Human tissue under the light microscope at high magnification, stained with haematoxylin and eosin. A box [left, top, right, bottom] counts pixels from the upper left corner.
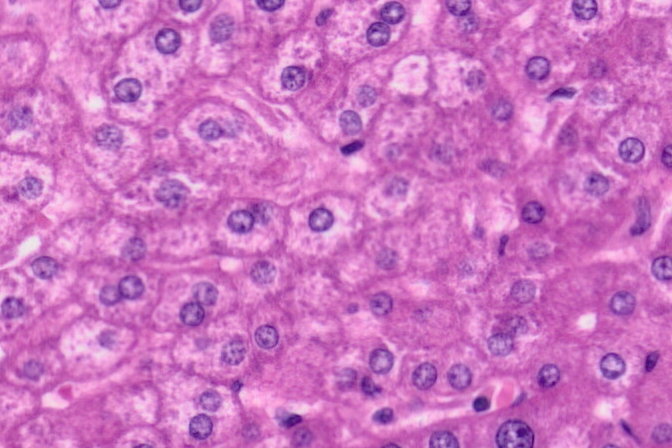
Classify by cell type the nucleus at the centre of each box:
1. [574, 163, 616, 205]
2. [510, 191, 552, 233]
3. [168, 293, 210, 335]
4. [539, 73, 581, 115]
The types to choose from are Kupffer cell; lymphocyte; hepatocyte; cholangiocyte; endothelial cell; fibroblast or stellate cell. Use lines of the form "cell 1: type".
cell 1: hepatocyte
cell 2: hepatocyte
cell 3: hepatocyte
cell 4: endothelial cell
